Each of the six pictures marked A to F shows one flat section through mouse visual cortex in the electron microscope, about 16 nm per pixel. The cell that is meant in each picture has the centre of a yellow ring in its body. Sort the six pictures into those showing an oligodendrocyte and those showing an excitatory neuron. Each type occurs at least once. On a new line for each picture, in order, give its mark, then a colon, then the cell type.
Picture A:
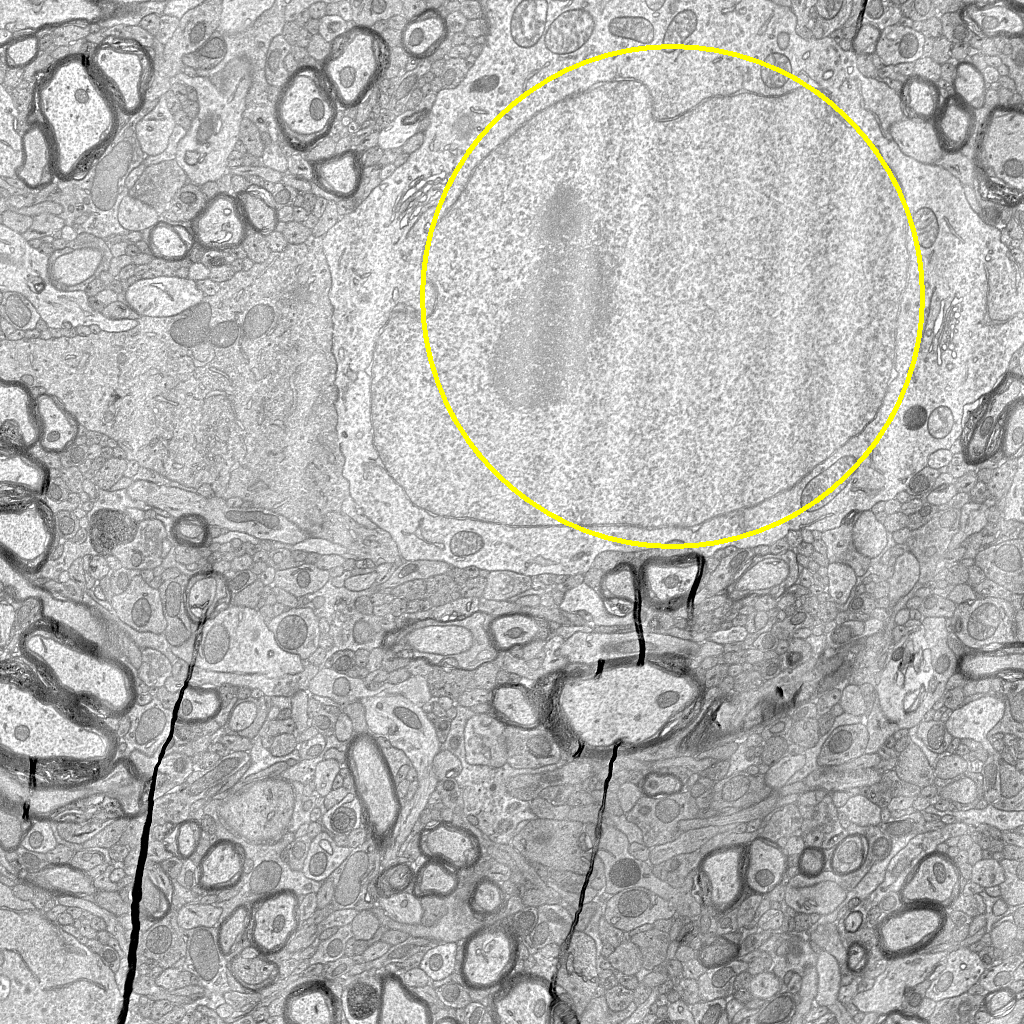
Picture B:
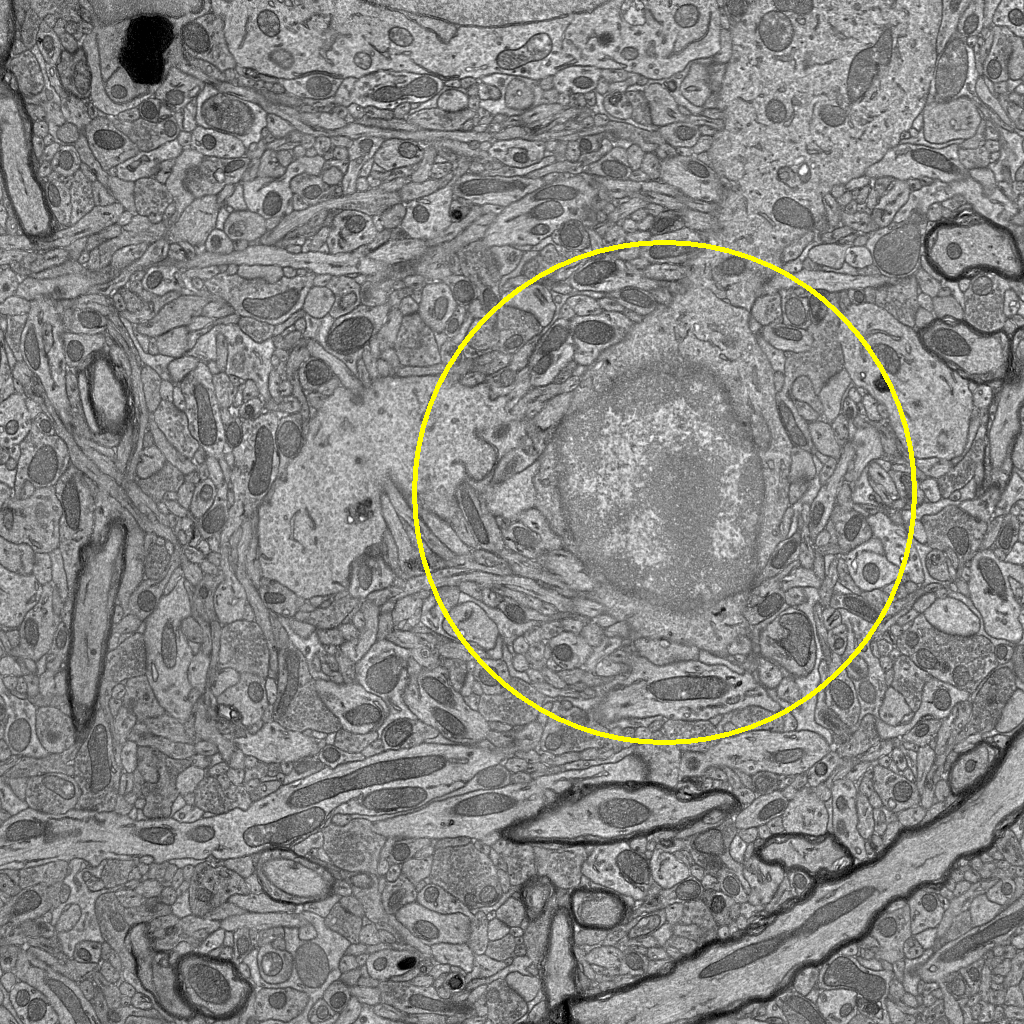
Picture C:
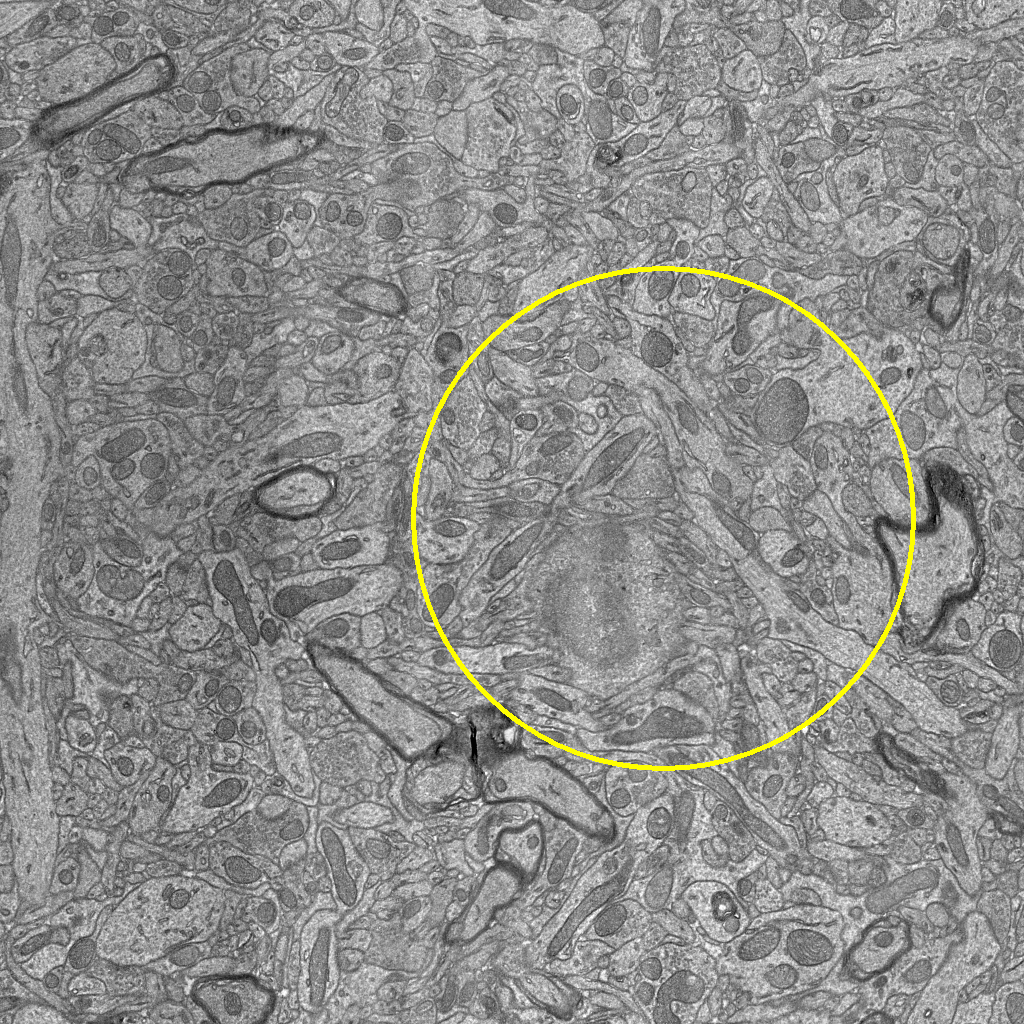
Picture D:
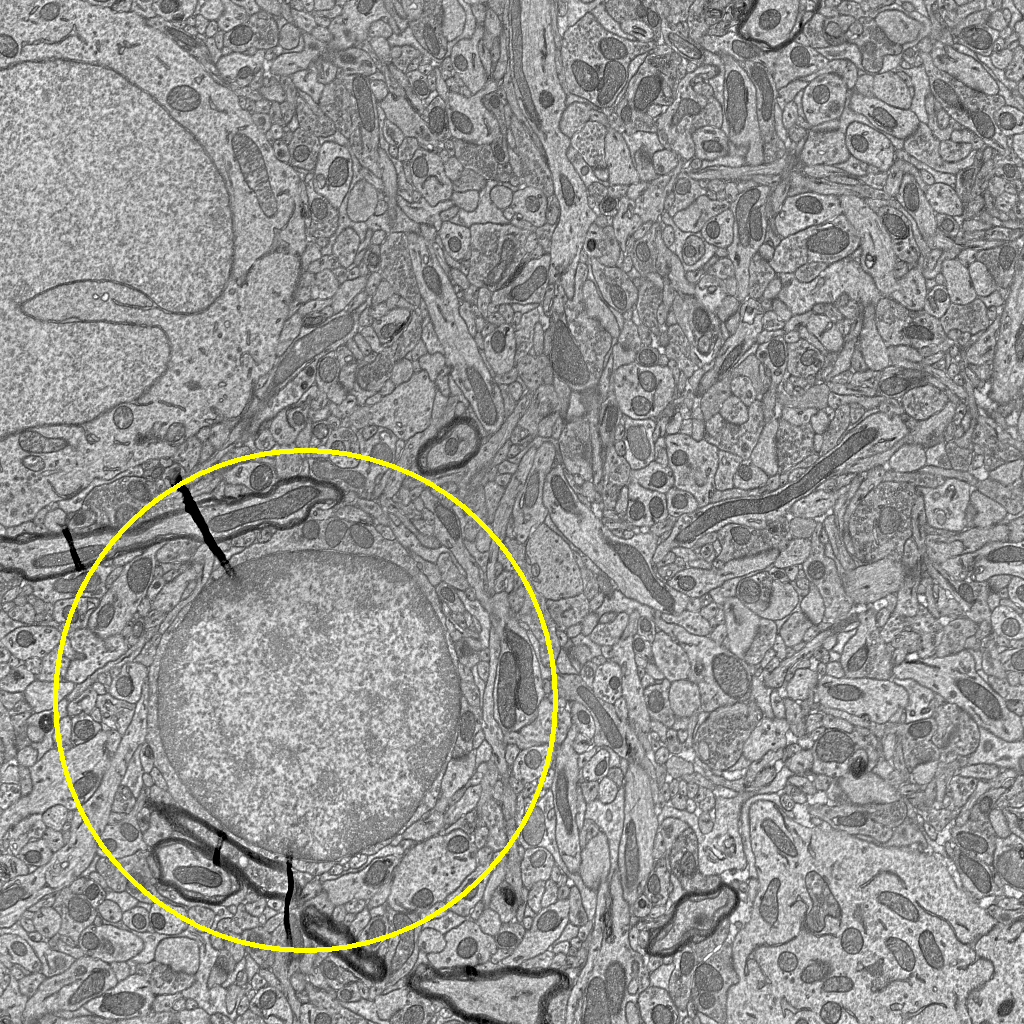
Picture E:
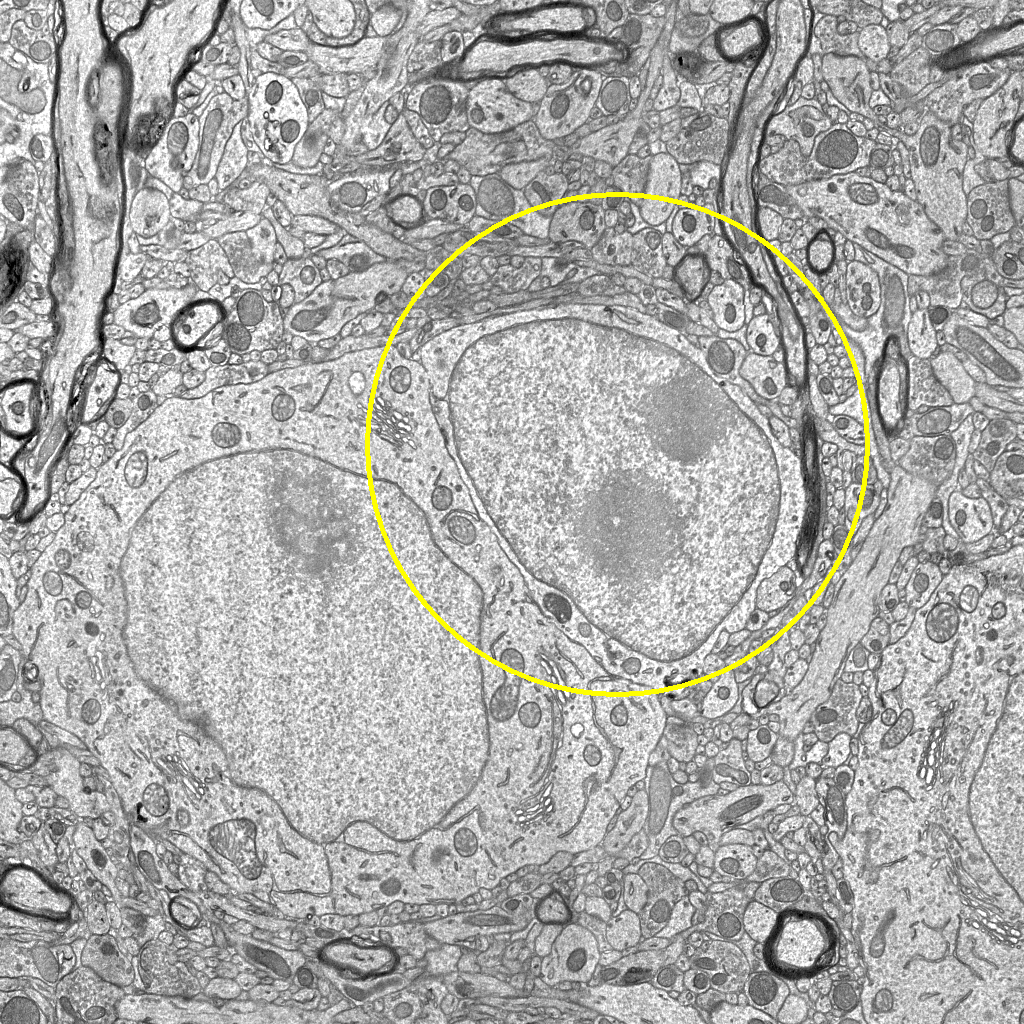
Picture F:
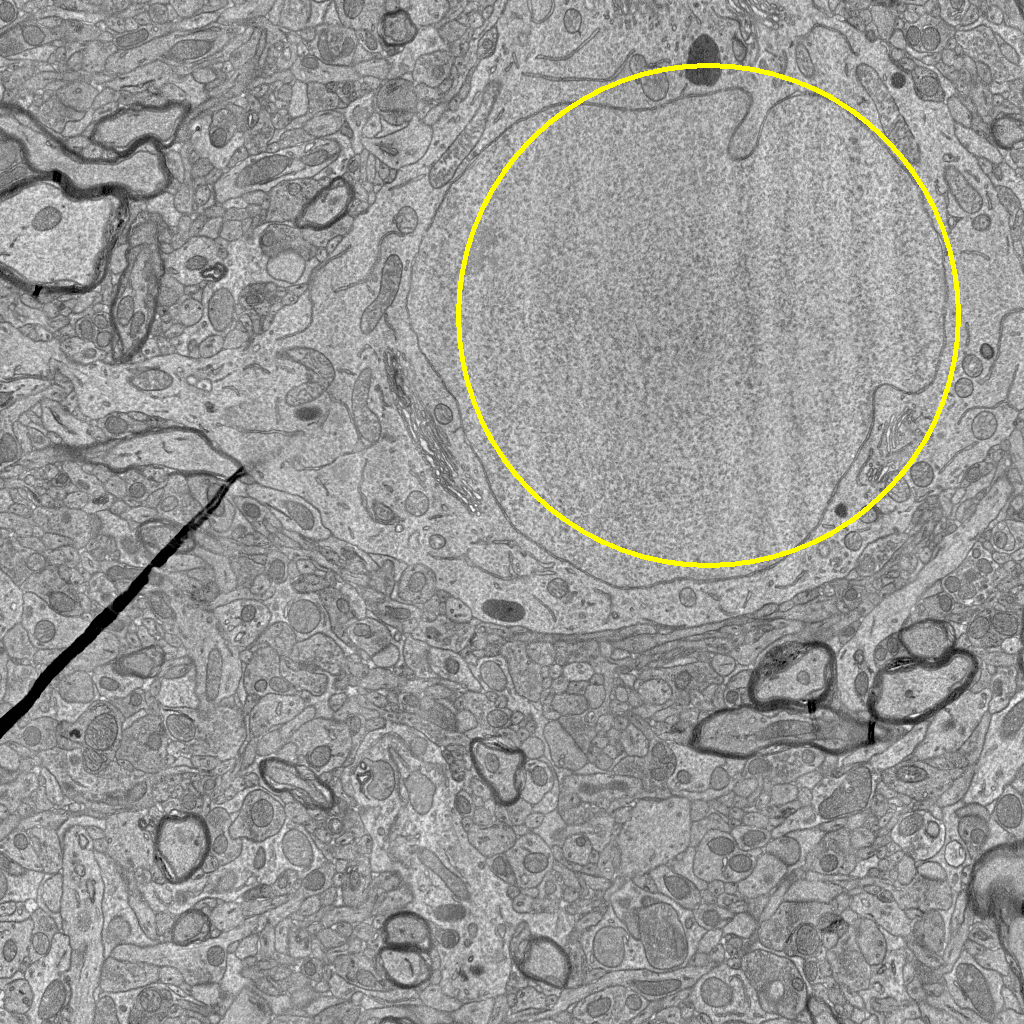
A: excitatory neuron
B: oligodendrocyte
C: oligodendrocyte
D: oligodendrocyte
E: oligodendrocyte
F: excitatory neuron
